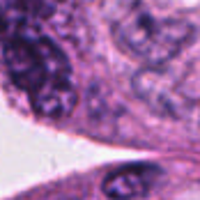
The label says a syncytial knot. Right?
Wrong: this is a cytotrophoblast.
